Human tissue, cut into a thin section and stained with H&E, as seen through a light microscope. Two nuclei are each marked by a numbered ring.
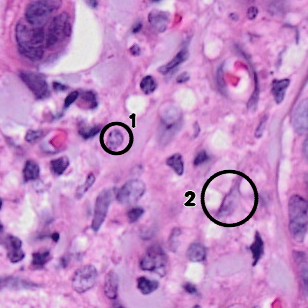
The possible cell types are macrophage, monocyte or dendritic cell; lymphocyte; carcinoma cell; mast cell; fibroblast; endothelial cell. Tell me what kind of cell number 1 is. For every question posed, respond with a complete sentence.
The nucleus labeled 1 belongs to a mast cell.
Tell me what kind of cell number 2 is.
The cell pointed out as number 2 is a fibroblast.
